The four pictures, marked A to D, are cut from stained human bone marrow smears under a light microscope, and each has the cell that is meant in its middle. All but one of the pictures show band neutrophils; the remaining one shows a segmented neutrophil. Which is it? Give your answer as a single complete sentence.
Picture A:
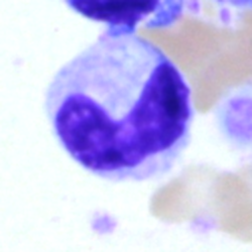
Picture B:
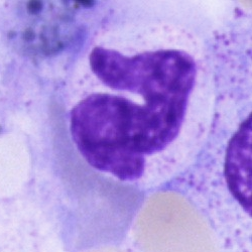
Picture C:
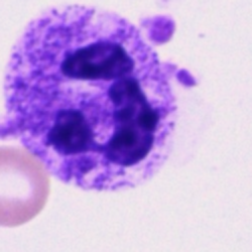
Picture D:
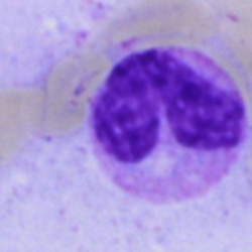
The cell in picture C is the segmented neutrophil.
